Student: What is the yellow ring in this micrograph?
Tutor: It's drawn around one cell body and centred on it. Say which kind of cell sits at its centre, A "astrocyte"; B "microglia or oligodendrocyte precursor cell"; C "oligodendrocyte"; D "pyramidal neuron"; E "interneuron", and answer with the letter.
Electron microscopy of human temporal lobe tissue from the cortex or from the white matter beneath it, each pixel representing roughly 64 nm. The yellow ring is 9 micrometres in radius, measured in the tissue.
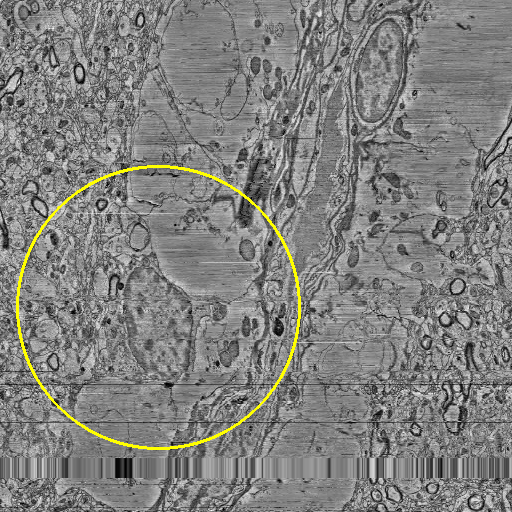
C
